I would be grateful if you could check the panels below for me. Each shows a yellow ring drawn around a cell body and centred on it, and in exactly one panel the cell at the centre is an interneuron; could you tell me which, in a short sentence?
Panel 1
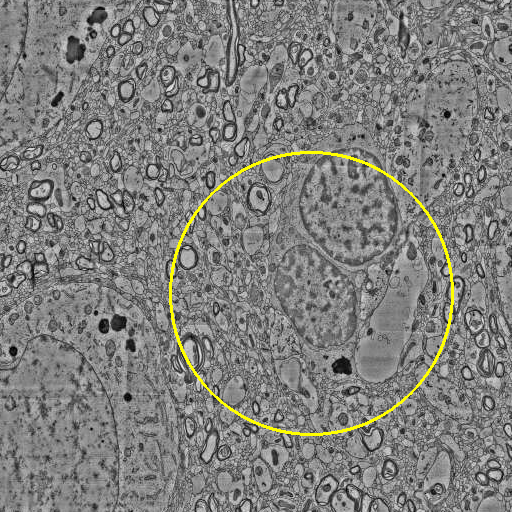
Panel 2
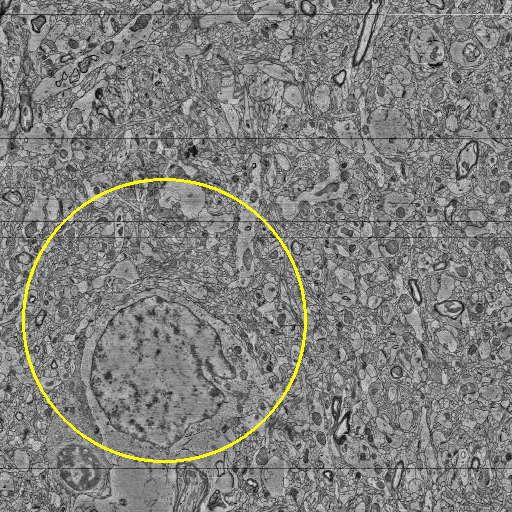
The ring in Panel 2 is centred on it.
